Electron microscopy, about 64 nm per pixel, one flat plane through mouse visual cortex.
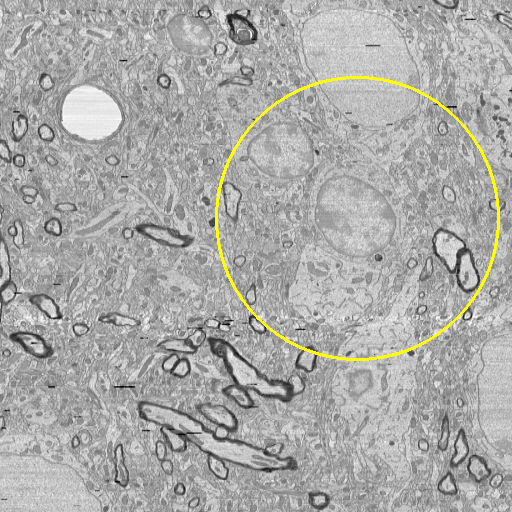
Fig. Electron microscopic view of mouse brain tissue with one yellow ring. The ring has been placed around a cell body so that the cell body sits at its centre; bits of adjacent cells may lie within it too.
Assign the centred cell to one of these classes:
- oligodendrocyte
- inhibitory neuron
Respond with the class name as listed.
oligodendrocyte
